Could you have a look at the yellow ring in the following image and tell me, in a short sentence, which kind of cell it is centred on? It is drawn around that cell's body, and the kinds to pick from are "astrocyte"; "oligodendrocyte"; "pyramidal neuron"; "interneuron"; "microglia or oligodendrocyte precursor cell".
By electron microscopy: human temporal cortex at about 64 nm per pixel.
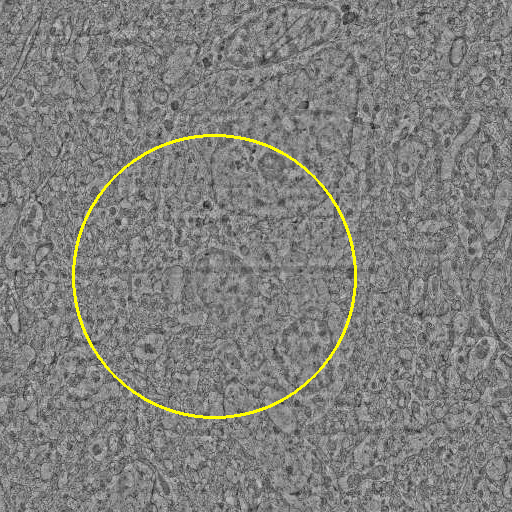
The ring is centred on the body of an oligodendrocyte.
